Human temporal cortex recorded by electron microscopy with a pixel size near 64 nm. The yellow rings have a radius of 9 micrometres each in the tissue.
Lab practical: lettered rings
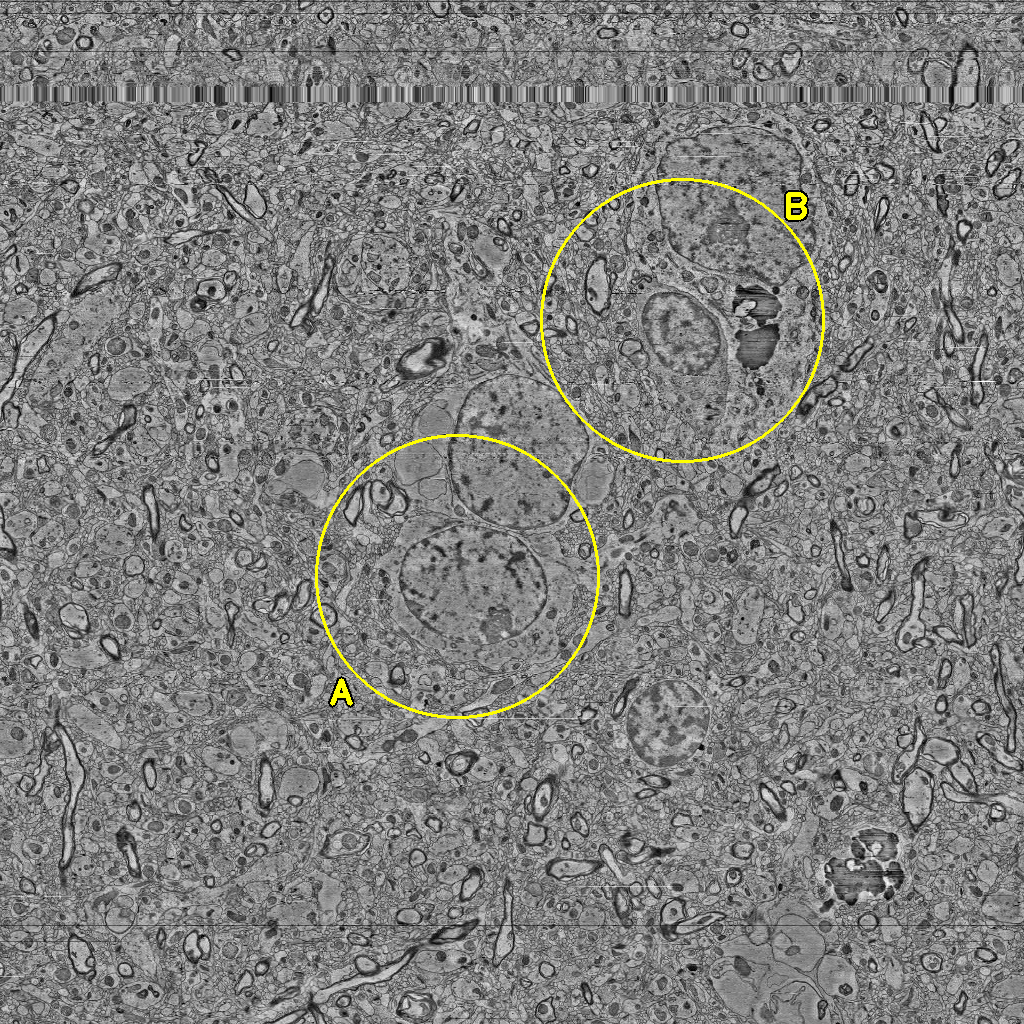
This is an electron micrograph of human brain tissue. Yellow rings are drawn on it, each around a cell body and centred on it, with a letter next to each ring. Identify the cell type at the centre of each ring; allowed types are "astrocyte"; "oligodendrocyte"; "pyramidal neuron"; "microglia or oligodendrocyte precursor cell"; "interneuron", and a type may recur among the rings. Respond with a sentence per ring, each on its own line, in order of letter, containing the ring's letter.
Lying at the centre of ring A is an astrocyte.
Lying at the centre of ring B is an oligodendrocyte.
